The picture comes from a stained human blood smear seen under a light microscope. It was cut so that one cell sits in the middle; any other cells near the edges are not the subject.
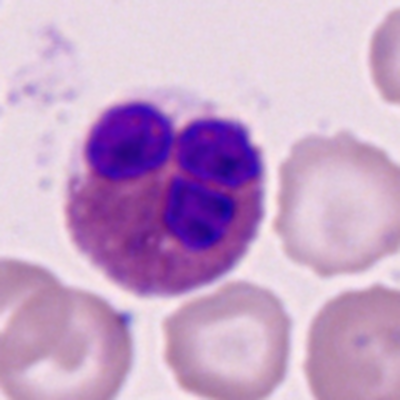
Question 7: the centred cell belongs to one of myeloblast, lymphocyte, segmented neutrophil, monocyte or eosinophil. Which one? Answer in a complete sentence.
For this crop, the central cell is an eosinophil.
